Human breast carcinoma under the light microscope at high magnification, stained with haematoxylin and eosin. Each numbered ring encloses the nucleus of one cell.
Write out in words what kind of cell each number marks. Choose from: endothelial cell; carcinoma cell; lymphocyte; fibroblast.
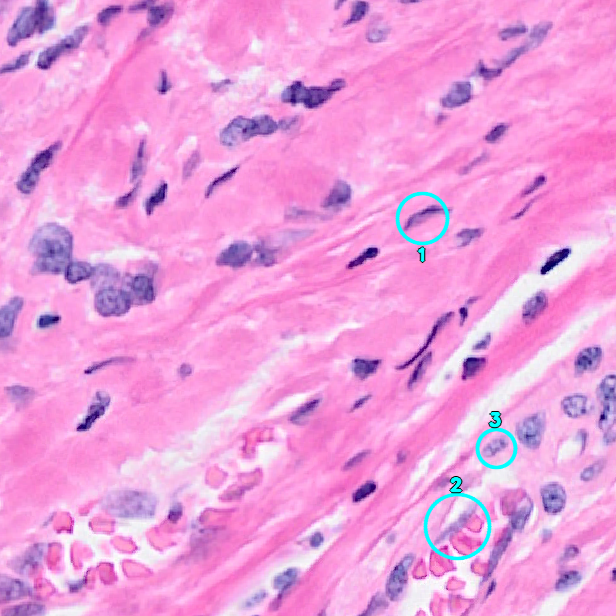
Cell 1 is a fibroblast, cell 2 is an endothelial cell and cell 3 is an endothelial cell.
